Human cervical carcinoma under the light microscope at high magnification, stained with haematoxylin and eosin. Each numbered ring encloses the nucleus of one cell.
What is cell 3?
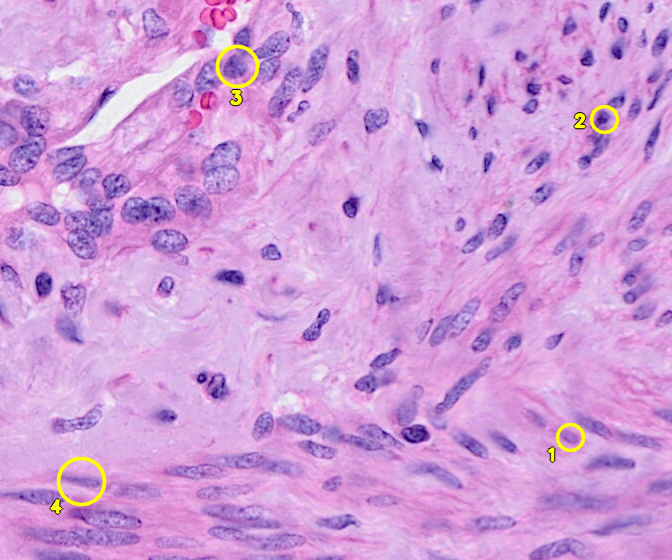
endothelial cell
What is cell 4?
smooth muscle cell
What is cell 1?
smooth muscle cell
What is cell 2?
smooth muscle cell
